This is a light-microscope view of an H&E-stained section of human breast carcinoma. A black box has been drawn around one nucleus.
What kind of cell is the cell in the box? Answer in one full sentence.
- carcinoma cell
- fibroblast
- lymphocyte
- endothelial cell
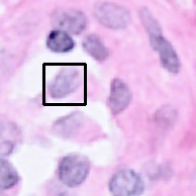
With respect to cell type, the cell in the box is a carcinoma cell.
